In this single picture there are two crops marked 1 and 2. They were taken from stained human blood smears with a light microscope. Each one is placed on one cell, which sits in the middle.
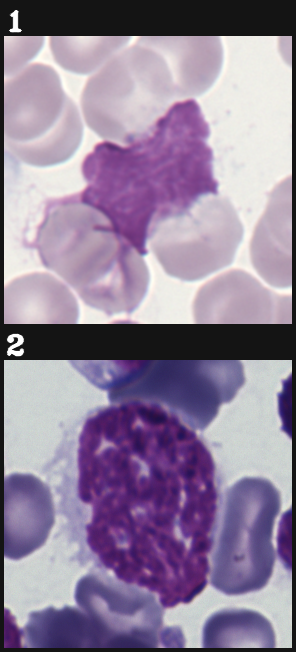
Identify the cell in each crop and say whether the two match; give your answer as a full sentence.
No, the central cell of crop 1 is a smudge cell; that of crop 2 is a myeloblast.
